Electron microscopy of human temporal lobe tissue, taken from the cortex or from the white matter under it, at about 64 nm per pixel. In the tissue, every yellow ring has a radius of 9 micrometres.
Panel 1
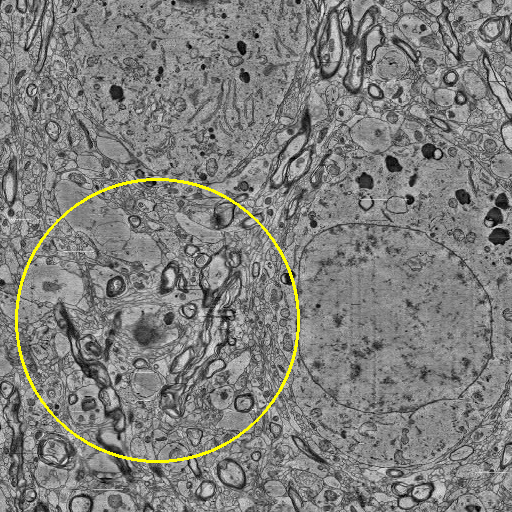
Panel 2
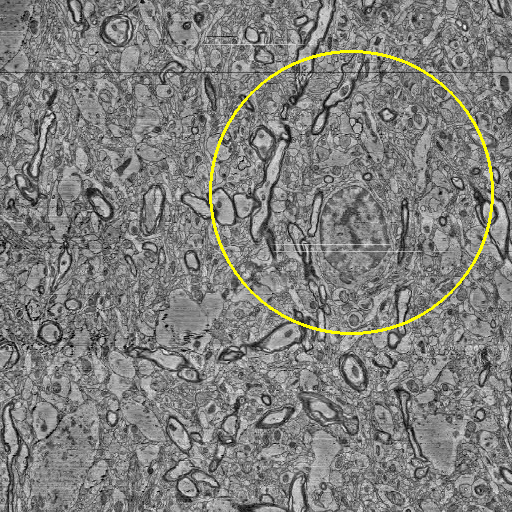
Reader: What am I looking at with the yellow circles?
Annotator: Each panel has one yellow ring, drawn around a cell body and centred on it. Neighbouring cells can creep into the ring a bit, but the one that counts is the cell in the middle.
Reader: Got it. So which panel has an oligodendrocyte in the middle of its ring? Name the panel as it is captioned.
Panel 2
